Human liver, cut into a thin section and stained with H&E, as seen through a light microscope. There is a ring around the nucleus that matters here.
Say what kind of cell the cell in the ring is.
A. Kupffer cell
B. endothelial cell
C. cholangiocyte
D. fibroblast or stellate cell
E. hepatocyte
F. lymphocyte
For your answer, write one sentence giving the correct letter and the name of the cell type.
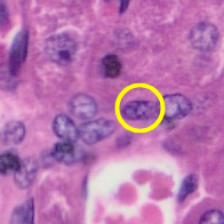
The item is answered by option C: the cell in the ring is a cholangiocyte.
